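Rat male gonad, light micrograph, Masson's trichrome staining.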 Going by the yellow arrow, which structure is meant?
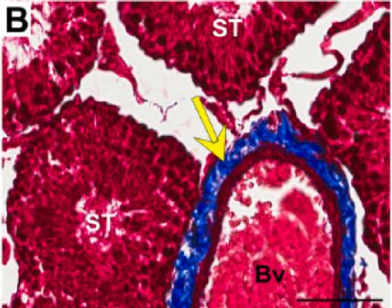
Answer: Collagen fibres.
